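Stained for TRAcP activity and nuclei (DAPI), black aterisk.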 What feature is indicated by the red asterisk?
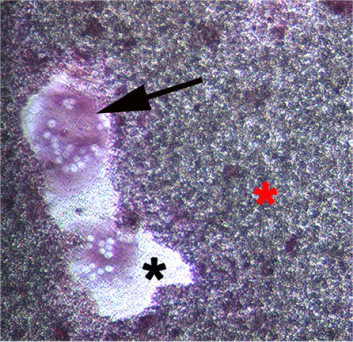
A: coating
